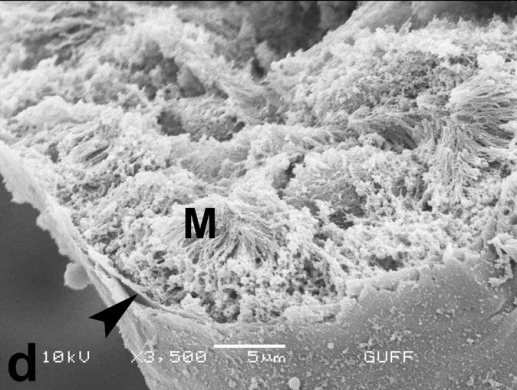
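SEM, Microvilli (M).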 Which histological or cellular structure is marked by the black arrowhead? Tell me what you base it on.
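The arrowhead points to a thin smooth sheet along the outer edge of the cut epithelium. The sheet lies outside the mass of cells, opposite the brush of fine filaments.
Thin basal lamina.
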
